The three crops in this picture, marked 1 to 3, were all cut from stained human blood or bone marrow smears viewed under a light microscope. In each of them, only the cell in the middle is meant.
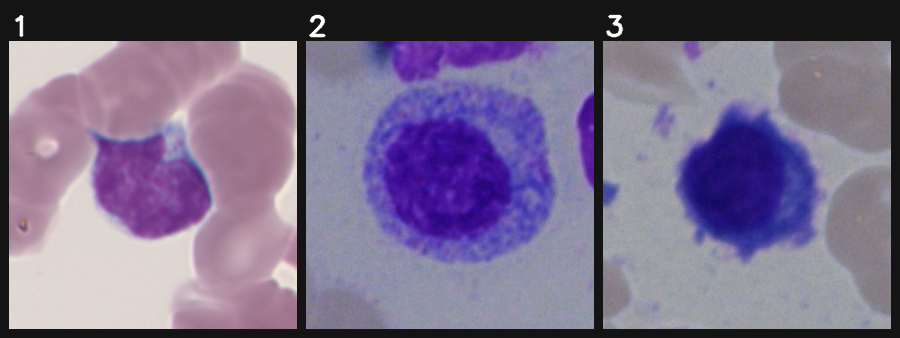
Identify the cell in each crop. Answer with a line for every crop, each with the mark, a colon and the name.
1: lymphocyte
2: myelocyte
3: plasma cell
